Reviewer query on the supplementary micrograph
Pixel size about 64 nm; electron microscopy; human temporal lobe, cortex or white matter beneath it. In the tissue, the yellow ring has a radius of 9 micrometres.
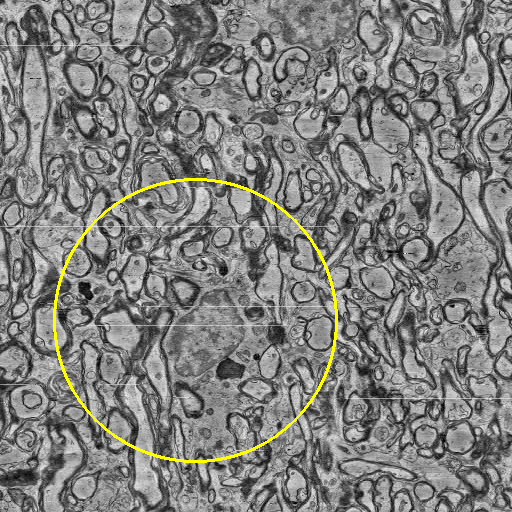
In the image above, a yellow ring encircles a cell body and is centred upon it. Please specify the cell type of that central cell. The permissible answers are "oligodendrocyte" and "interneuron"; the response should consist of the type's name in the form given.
oligodendrocyte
